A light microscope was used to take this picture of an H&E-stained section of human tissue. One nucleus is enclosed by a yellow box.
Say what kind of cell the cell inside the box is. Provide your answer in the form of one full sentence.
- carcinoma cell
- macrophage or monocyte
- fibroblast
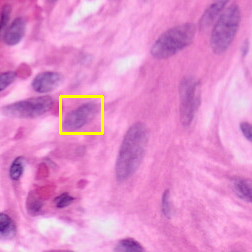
At the level of cell identity, the cell inside the box is a fibroblast.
